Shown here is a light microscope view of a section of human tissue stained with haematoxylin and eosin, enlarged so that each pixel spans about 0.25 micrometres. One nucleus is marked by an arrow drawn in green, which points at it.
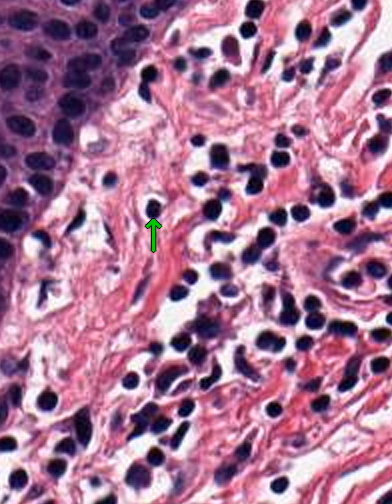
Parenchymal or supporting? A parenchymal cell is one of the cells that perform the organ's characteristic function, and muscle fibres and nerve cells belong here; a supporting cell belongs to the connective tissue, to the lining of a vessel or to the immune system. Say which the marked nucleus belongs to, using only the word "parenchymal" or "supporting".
supporting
